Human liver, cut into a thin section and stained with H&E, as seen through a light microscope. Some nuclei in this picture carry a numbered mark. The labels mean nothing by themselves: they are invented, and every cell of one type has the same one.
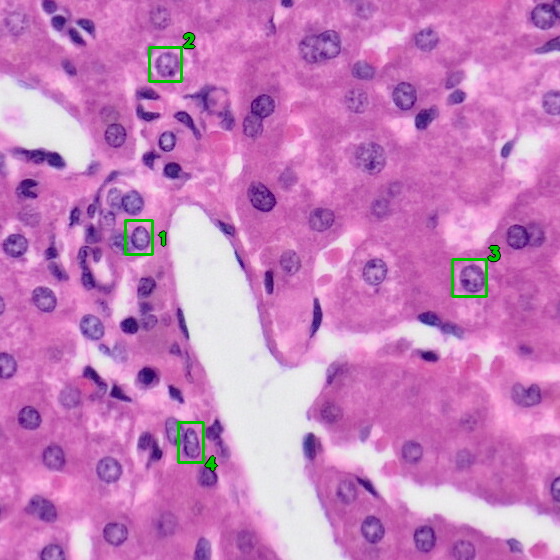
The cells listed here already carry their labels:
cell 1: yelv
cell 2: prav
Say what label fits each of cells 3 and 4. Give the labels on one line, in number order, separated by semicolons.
prav; yelv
